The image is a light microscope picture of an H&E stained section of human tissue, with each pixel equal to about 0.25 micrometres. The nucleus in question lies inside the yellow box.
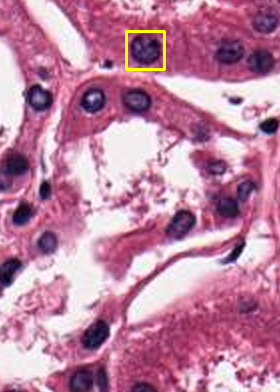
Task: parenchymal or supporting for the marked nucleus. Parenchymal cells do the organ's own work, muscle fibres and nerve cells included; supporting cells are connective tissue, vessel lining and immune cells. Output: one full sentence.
The marked nucleus belongs to one of the parenchymal cells, namely a proximal tubule cell.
